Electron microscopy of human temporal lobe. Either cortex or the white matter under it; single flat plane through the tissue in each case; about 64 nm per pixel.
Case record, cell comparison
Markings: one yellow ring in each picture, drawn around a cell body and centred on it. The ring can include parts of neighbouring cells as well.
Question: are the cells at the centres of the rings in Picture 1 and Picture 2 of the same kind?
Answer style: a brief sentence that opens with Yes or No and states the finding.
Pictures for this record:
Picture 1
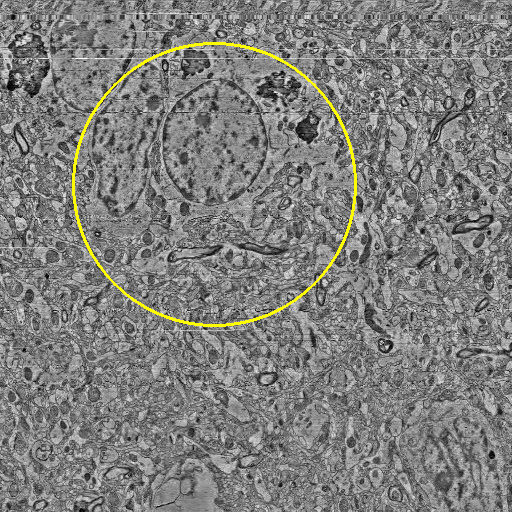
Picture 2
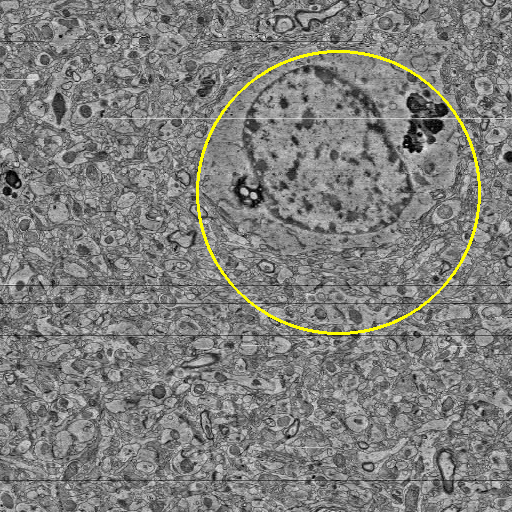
Yes, the cells in Picture 1 and Picture 2 are of the same kind.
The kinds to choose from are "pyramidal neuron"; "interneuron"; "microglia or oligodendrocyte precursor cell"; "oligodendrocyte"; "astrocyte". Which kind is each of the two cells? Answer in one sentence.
Each one of the two ringed cells is an astrocyte.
